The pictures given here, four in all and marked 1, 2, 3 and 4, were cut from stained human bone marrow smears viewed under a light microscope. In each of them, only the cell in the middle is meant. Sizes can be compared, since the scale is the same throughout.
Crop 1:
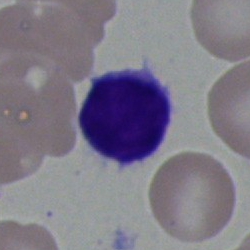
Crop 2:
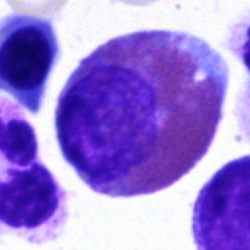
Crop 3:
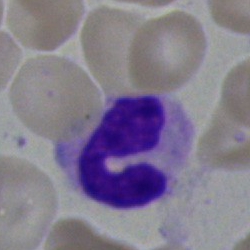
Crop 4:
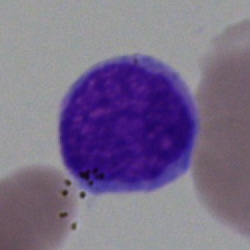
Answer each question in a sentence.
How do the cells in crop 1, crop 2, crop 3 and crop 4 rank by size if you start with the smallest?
Going up, they run 1, 3, 4, 2.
